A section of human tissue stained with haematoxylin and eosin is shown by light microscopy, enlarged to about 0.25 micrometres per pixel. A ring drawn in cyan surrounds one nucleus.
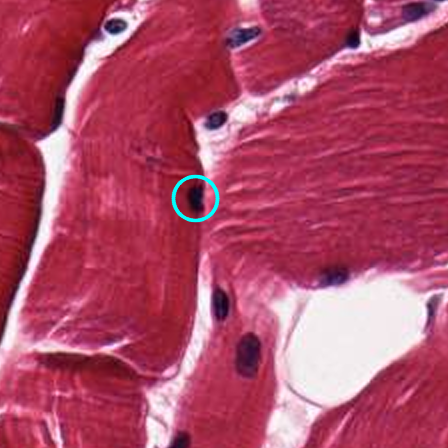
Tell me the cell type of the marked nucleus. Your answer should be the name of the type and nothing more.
skeletal muscle fibre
